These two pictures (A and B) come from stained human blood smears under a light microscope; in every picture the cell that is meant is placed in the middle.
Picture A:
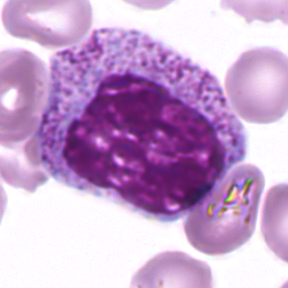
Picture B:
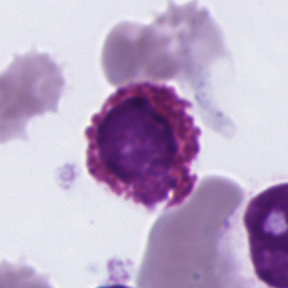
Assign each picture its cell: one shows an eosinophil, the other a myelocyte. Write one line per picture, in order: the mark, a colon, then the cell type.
A: myelocyte
B: eosinophil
